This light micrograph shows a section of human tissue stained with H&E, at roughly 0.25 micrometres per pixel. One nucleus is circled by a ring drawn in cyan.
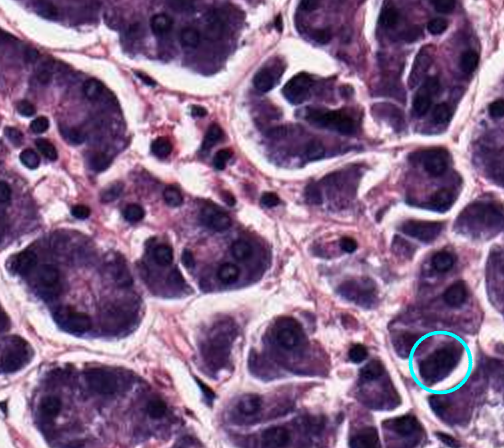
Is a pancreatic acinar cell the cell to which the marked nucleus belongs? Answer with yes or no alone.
yes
